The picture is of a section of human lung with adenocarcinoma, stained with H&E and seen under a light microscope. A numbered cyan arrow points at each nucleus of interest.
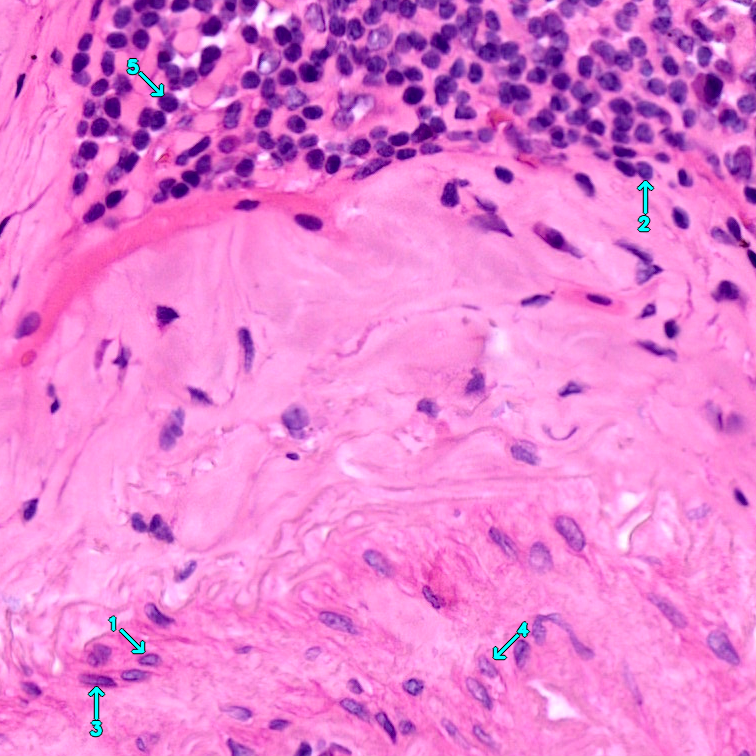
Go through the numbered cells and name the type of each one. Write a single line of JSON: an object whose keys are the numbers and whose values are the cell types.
{"1": "smooth muscle cell or pericyte", "2": "lymphocyte", "3": "smooth muscle cell or pericyte", "4": "smooth muscle cell or pericyte", "5": "lymphocyte"}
